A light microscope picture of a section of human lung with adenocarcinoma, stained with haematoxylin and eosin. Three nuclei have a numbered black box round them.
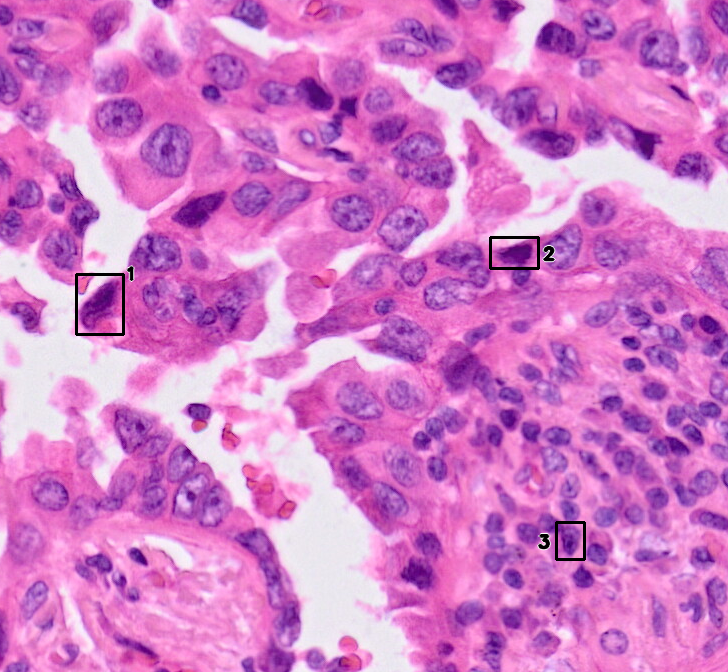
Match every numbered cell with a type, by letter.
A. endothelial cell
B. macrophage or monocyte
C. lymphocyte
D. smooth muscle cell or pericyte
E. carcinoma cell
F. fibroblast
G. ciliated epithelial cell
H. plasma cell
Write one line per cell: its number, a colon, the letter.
1: E
2: E
3: H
